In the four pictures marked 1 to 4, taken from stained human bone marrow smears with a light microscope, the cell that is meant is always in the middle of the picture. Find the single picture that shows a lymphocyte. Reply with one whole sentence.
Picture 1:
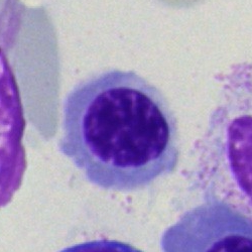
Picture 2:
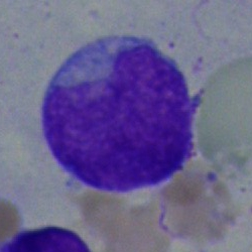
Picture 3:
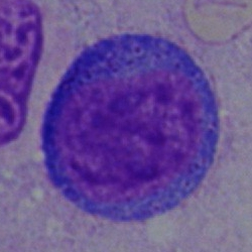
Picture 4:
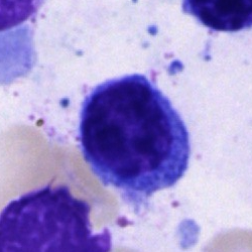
It is picture 4 that shows the lymphocyte.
